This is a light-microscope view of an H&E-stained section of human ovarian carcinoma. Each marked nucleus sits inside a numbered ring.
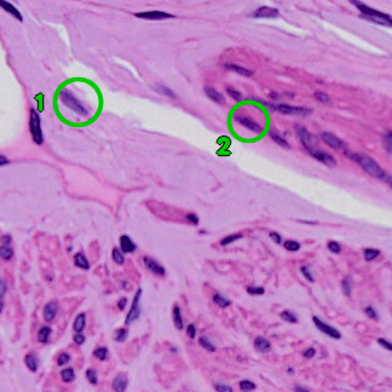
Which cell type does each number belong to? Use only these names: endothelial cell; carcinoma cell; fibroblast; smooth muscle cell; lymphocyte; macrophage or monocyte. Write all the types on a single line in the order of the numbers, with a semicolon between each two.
fibroblast; smooth muscle cell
